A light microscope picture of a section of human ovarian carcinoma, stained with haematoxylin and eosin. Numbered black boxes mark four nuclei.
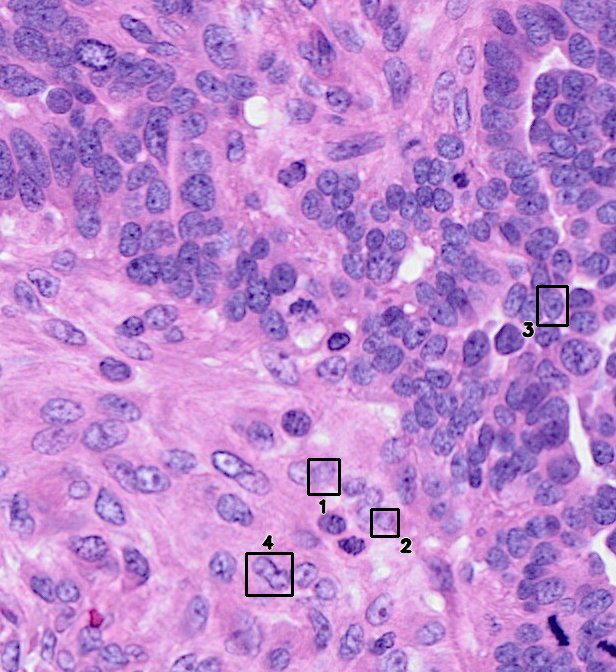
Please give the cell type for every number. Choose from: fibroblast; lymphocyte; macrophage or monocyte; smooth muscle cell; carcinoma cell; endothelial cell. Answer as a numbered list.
1. fibroblast
2. fibroblast
3. carcinoma cell
4. fibroblast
